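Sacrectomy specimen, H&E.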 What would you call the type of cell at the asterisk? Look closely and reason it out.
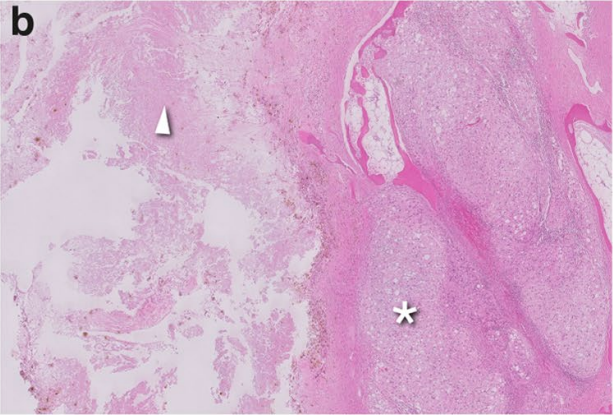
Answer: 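Tumoral cells. The asterisk lies in rounded lobules of densely packed cells. The cells in the lobules have pale pink cytoplasm with many small clear vacuoles. The lobules are set off from the loose area on the left by denser pink bands.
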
